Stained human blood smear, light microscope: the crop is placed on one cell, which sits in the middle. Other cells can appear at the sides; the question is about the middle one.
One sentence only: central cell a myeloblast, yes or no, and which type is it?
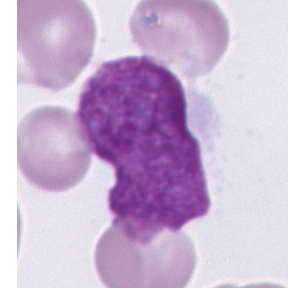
No, the centrally located cell is a smudge cell rather than a myeloblast.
